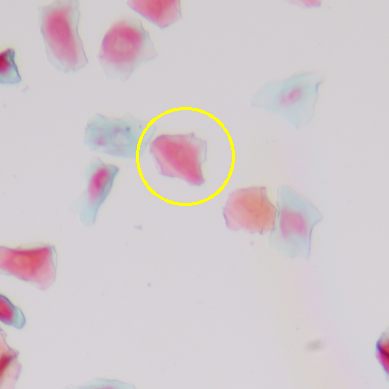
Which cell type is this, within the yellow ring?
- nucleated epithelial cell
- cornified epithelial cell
Within the ring is a cornified epithelial cell.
